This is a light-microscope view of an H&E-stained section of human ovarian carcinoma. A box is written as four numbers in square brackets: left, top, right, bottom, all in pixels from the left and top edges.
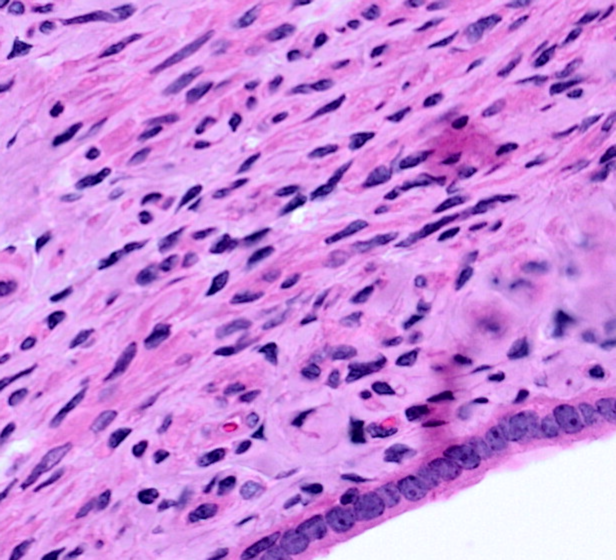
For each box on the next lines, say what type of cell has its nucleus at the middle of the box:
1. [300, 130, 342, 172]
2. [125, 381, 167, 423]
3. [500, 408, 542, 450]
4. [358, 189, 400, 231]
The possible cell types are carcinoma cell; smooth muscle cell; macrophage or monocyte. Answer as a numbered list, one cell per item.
1. smooth muscle cell
2. smooth muscle cell
3. carcinoma cell
4. smooth muscle cell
